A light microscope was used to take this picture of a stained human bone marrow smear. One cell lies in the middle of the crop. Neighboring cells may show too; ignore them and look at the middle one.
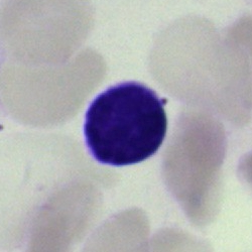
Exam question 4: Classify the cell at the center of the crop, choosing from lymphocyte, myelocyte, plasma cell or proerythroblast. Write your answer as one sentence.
The cell that lies at the centre of the crop is a lymphocyte.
